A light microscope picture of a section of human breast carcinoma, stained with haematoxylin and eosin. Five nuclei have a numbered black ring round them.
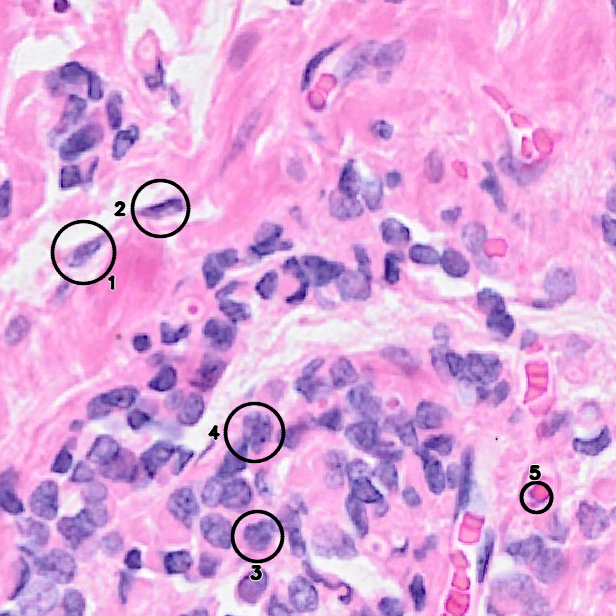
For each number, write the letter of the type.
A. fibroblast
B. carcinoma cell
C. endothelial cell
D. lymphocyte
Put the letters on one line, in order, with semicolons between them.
A; A; B; B; C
